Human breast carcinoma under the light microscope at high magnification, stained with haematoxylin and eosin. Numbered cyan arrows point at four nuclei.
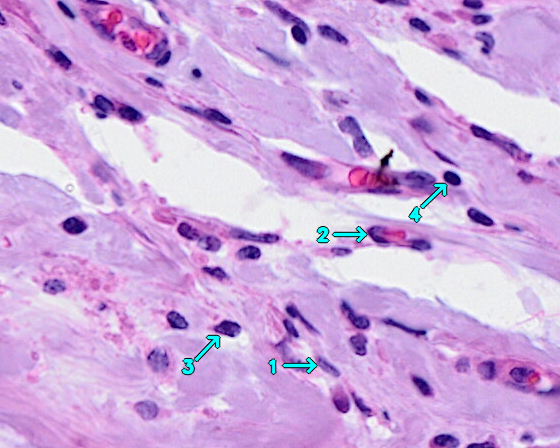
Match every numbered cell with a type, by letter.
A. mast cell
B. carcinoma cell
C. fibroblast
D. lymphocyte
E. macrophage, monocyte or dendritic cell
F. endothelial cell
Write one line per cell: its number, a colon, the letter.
1: C
2: F
3: D
4: D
